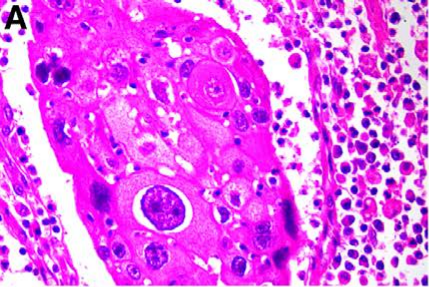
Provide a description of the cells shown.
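This is squamous cell carcinoma: a nest of large, polygonal tumor cells with abundant dense pink cytoplasm lies in a stroma crowded with small round inflammatory cells. The tumor nuclei are strikingly unequal, some very large, dark and irregular, forming giant cells, others vesicular with coarse granular chromatin and visible nucleoli. Within the nest a small concentric pink whorl of keratinizing cells holds a retained nucleus, showing incomplete keratinization. A clear space separates the nest from the surrounding stroma in places, and thin bands of pink fibrous tissue run beside it.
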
